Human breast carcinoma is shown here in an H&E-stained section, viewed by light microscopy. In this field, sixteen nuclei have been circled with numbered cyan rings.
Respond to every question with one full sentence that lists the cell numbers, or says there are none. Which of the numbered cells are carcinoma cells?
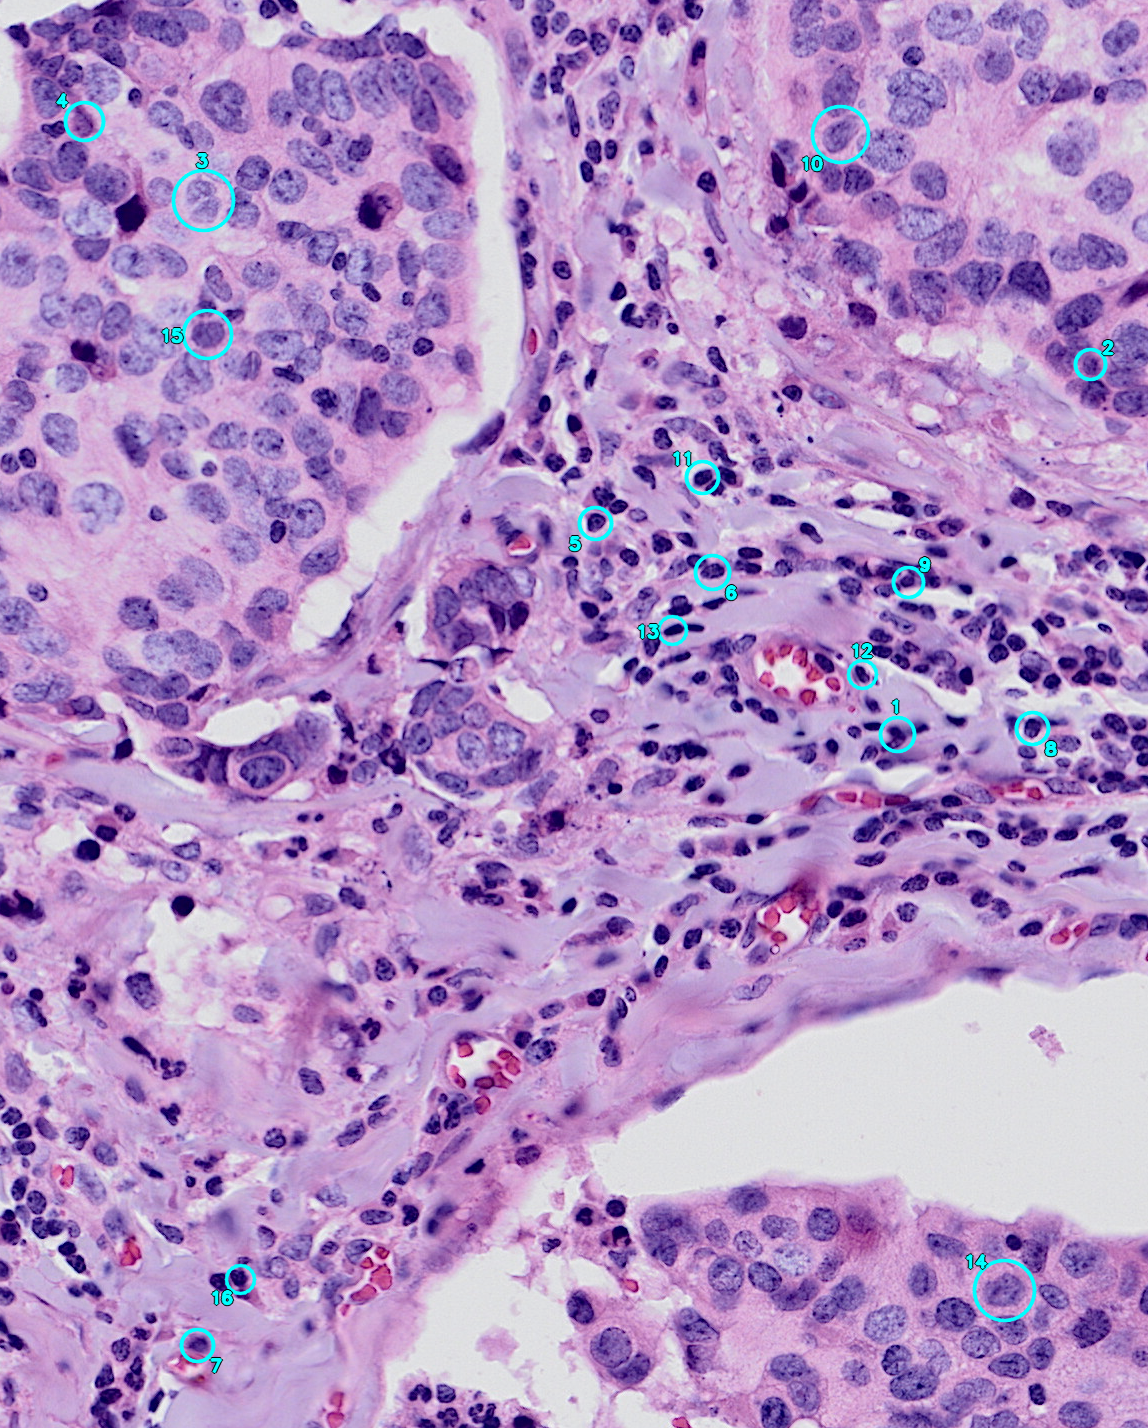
The cells numbered 2, 3, 4, 10, 14 and 15 are identified as carcinoma cells.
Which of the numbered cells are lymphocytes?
The cells carrying labels 1, 5, 6, 8, 9, 11, 12, 13 and 16 are lymphocytes.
